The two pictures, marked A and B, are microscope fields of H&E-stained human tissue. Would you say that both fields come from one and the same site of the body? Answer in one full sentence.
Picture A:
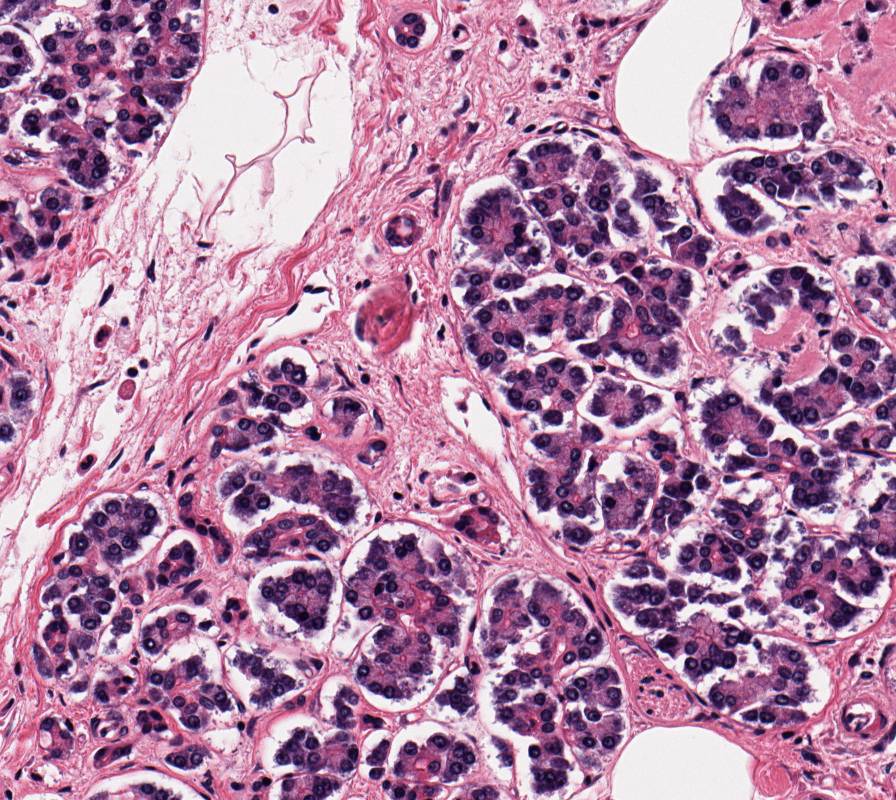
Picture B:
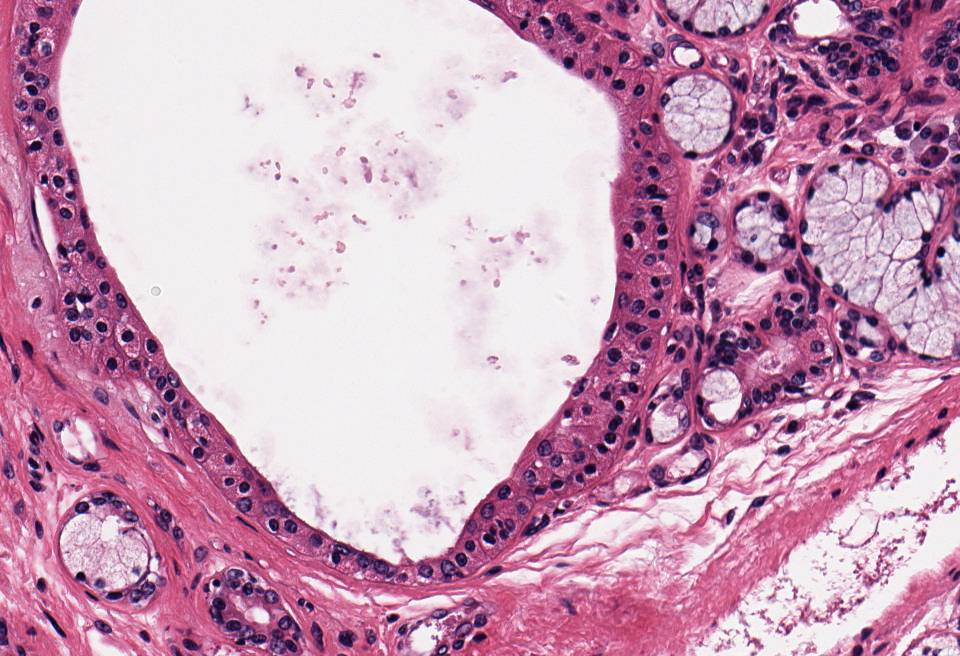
No. Picture A comes from the pancreas, whereas picture B comes from a minor salivary gland.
